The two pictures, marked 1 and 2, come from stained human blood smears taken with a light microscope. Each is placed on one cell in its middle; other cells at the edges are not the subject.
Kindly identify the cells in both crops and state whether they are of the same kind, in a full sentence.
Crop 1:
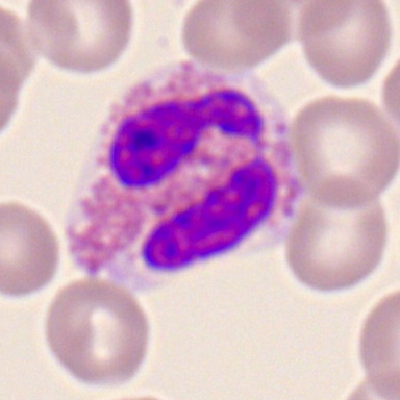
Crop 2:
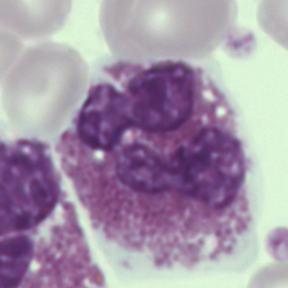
Yes, the reply for both crops is eosinophils.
